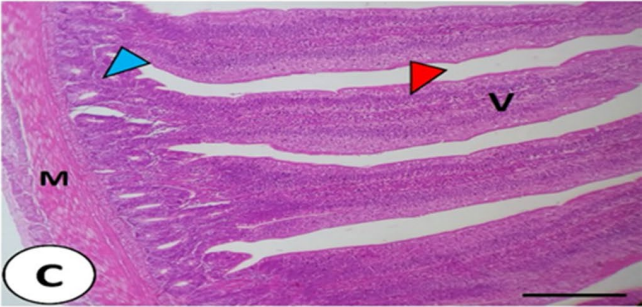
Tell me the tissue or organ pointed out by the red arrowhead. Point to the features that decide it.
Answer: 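The arrowhead points at the surface lining of a long finger-like projection.
Simple columnar epithelium.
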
